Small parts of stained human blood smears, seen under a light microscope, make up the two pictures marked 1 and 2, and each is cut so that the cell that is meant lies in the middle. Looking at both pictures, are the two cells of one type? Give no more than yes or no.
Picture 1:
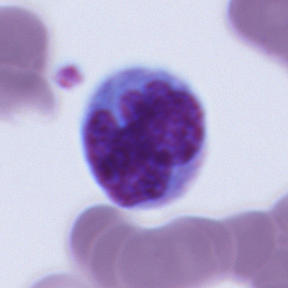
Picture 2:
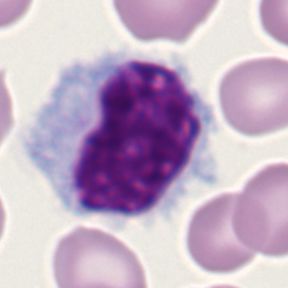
no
